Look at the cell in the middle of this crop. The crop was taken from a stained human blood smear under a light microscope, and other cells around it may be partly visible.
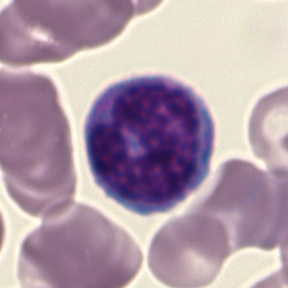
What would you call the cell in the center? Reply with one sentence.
The cell of interest, in the center, is a monocyte.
